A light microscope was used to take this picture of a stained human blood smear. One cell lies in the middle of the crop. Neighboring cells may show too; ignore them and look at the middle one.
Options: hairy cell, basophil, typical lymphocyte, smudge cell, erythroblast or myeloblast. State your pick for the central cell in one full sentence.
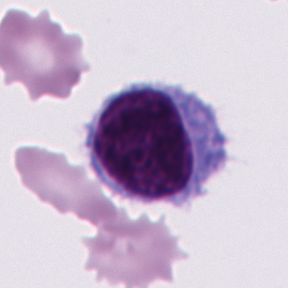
This particular crop is centered on a hairy cell.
